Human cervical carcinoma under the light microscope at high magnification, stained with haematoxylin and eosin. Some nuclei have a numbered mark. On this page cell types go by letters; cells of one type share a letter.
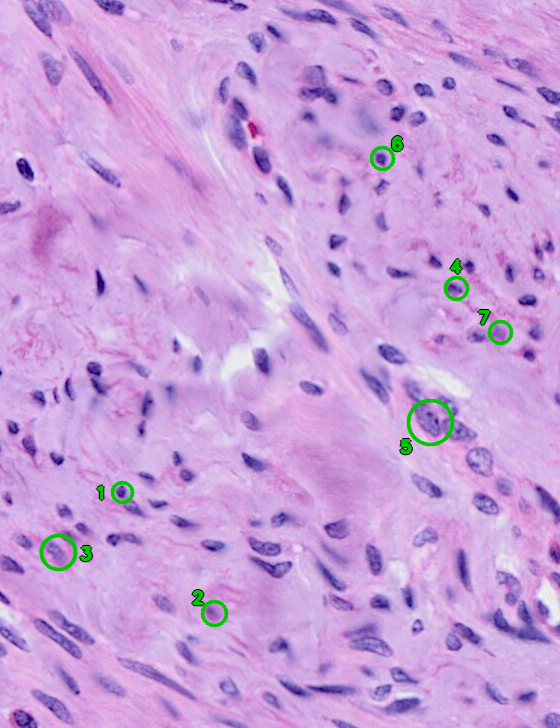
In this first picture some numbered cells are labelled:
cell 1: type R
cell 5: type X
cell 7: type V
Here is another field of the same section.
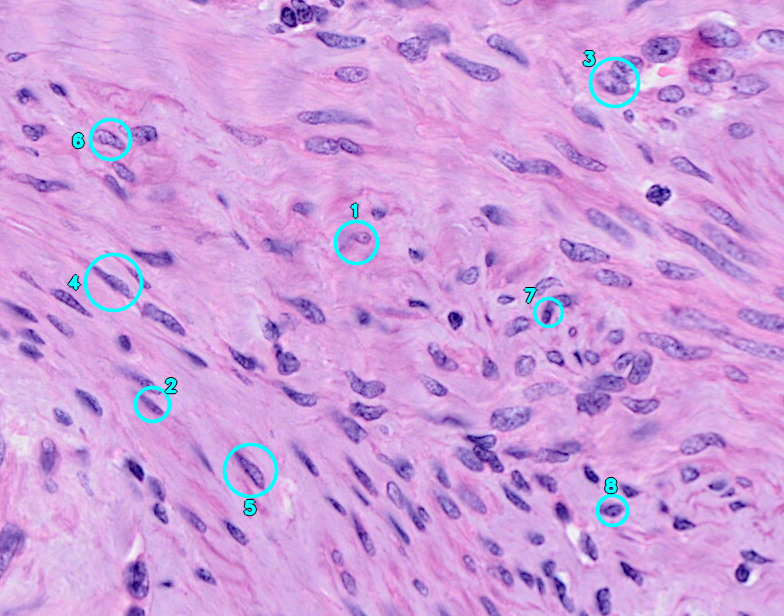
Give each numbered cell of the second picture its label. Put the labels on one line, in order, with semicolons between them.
type V; type V; type X; type R; type V; type V; type V; type R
